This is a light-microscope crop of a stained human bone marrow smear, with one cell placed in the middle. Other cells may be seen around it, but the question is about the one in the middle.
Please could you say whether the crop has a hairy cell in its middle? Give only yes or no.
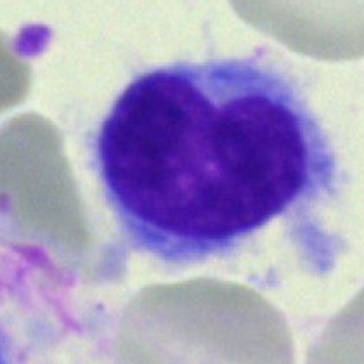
yes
